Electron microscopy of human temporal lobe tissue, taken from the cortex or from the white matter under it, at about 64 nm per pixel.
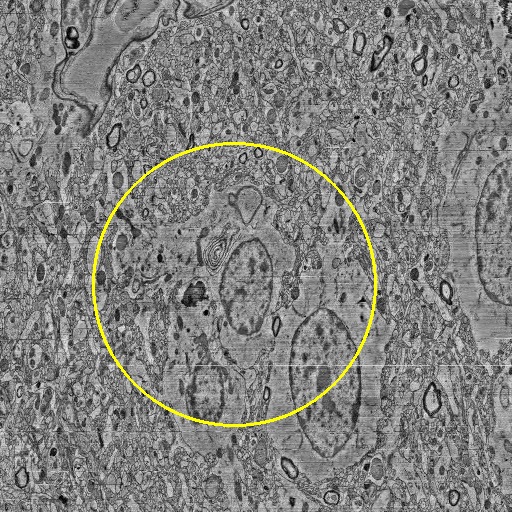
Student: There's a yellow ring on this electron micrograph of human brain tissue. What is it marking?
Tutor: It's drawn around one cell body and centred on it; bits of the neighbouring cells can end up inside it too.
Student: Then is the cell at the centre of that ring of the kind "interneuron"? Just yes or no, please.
no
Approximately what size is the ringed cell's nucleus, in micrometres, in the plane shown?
In this plane, approximately 6 by 3 micrometers, and clearly longer than it is wide.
